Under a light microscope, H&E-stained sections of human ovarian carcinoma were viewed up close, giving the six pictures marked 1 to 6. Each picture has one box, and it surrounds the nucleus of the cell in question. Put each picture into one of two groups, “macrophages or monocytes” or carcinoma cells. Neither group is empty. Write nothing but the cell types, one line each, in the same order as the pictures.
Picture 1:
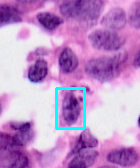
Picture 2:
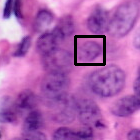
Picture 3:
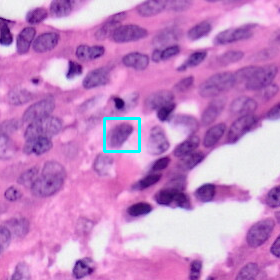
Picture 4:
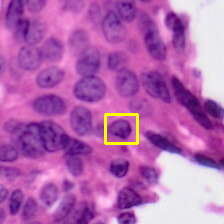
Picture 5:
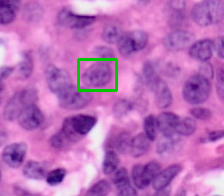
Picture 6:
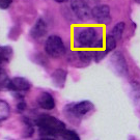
macrophage or monocyte
carcinoma cell
macrophage or monocyte
macrophage or monocyte
carcinoma cell
carcinoma cell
